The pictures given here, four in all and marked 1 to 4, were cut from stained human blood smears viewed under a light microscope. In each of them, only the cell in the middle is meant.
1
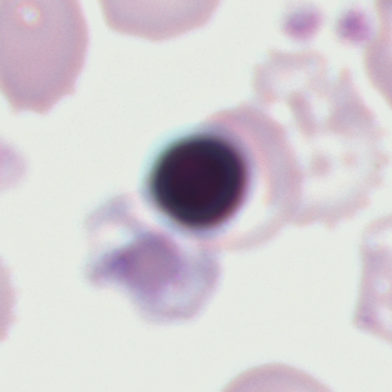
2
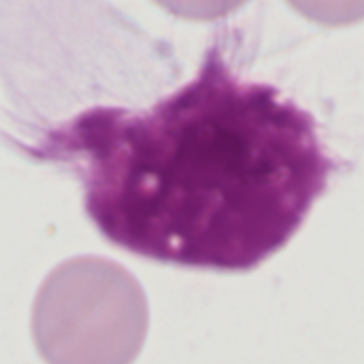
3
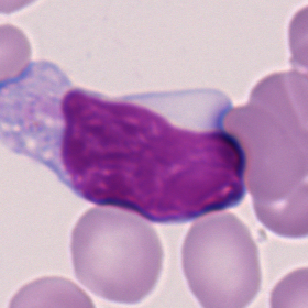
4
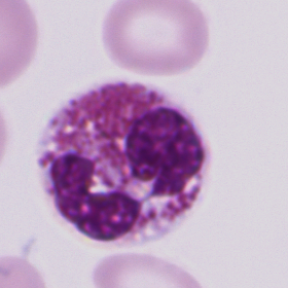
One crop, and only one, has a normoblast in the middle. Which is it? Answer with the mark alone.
1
